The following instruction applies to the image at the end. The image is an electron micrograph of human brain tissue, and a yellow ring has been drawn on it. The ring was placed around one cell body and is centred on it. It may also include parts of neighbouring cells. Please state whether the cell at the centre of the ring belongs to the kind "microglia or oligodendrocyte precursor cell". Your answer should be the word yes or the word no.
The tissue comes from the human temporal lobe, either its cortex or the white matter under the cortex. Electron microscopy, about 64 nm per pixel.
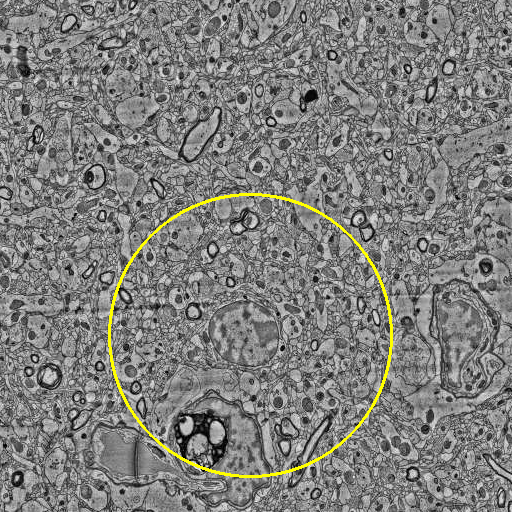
yes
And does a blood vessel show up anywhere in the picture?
Yes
